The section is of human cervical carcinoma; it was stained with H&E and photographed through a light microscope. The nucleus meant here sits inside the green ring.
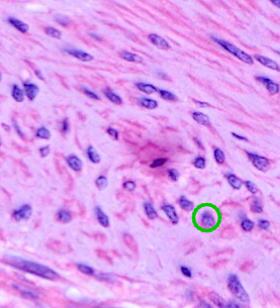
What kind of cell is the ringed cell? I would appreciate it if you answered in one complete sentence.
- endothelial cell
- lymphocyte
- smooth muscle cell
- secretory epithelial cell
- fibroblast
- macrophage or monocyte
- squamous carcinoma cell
Recorded by type, the ringed cell is a smooth muscle cell.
